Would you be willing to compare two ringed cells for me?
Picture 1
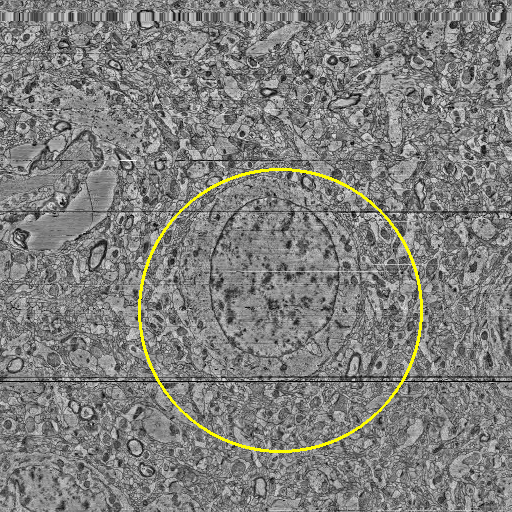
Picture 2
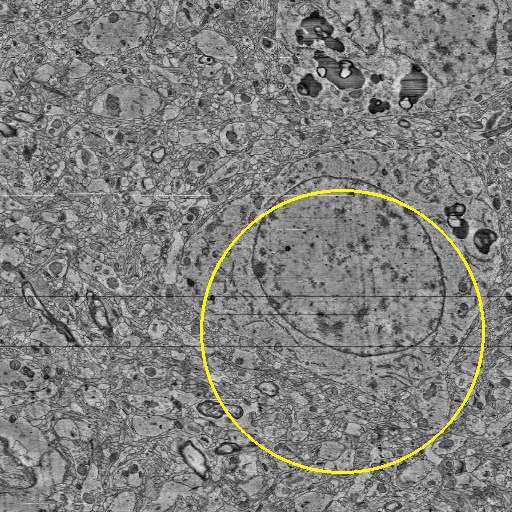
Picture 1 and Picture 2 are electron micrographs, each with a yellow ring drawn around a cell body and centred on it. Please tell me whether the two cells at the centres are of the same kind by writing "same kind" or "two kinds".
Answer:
same kind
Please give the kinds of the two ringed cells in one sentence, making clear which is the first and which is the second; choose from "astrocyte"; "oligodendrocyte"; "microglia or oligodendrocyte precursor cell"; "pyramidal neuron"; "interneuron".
Each of the two cells is a pyramidal neuron.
